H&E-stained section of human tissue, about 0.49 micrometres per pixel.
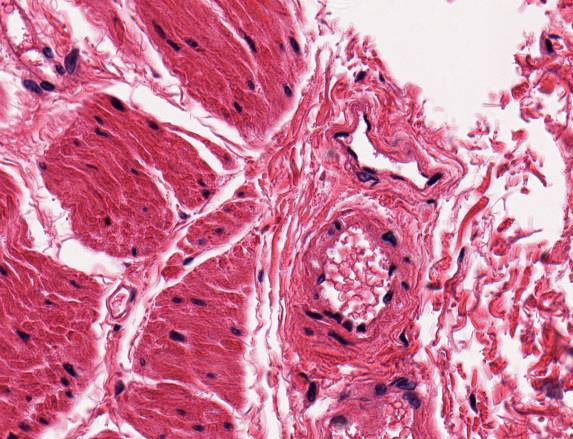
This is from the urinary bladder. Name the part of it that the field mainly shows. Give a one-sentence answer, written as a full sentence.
The human tissue part in this section is smooth muscle.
